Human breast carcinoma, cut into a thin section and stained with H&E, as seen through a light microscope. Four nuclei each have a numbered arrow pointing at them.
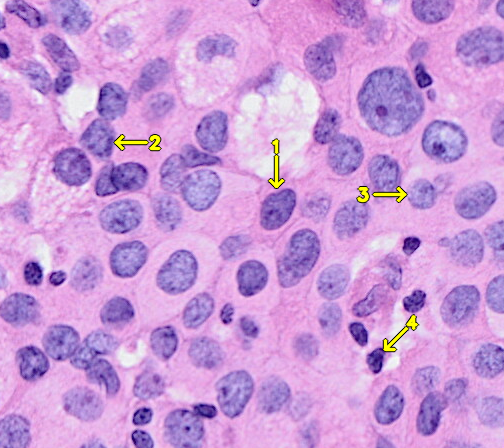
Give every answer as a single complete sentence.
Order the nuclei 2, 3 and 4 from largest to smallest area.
From largest to smallest, the order is 2, 3, 4.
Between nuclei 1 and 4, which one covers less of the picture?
Number 4 is smaller, since number 1 takes up about 3 times as much area.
